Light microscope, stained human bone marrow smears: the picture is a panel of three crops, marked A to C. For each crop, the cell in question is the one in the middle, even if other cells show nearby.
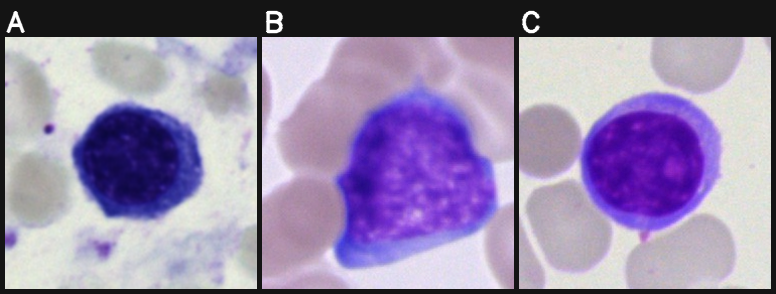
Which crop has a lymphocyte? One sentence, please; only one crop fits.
That would be crop C; it shows a lymphocyte.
